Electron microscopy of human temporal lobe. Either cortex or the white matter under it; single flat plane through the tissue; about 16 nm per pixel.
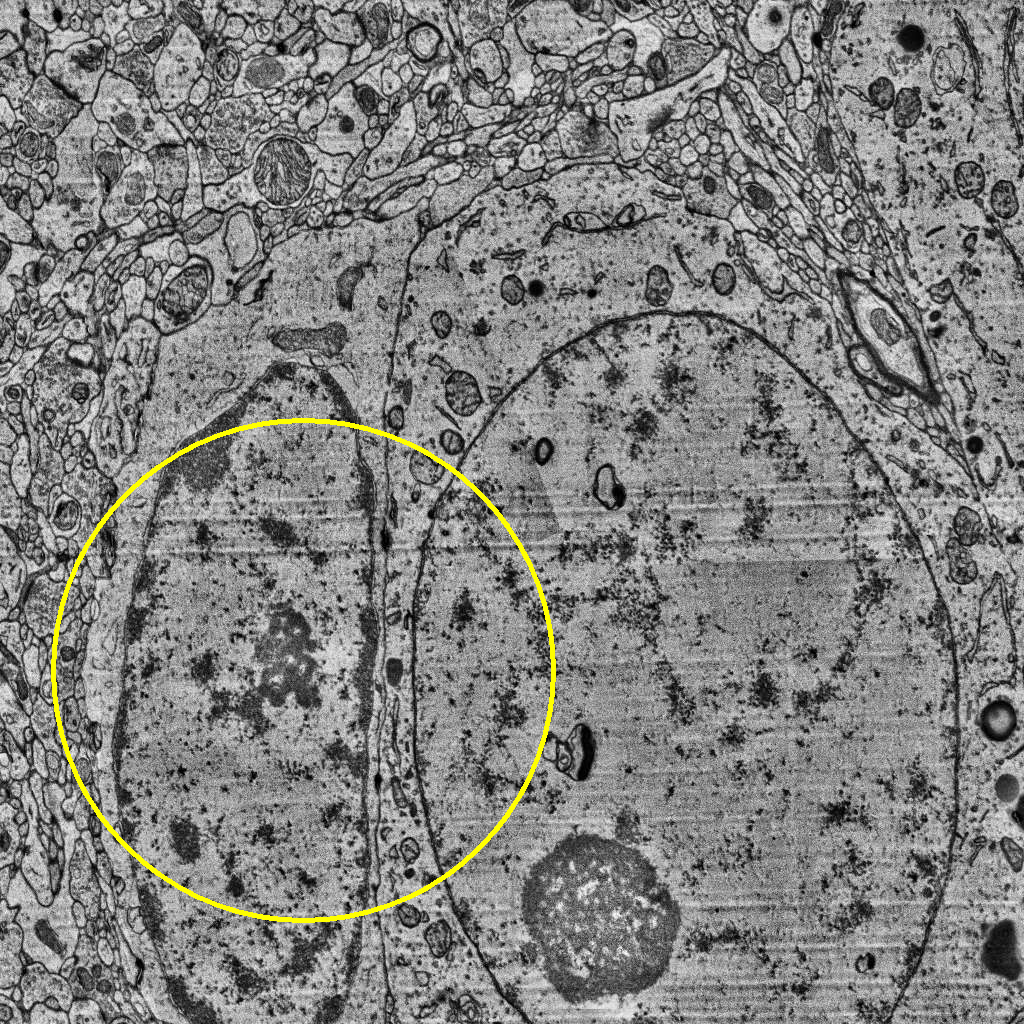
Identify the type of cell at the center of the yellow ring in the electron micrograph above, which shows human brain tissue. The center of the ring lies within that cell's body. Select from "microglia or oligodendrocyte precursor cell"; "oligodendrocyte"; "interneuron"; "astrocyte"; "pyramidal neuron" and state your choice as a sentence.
The center of the yellow ring lies in the body of a microglial cell or oligodendrocyte precursor cell.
